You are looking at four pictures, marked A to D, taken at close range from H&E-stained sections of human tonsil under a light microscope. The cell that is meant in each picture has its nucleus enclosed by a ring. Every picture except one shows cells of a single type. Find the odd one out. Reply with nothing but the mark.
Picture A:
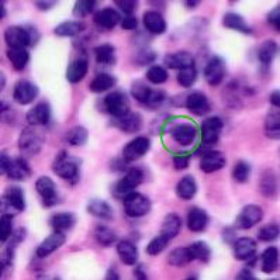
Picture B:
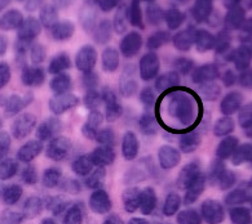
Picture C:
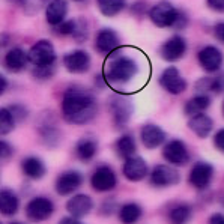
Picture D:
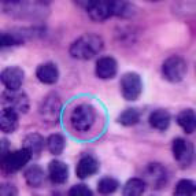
D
